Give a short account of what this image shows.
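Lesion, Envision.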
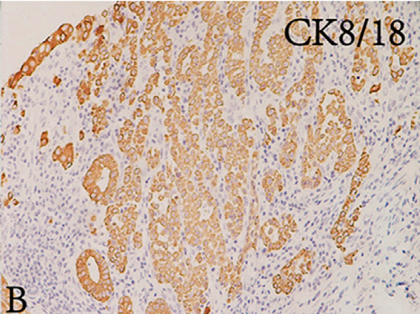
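Neoplastic epithelial cells form small glands with open lumens and solid sheets and cords, and their cytoplasm is stained brown. The glands are lined by cuboidal to columnar cells with rounded nuclei, while the solid areas are crowded with polygonal cells. A band of stroma with blue, unstained spindle cells surrounds the stained epithelium and runs between its groups.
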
